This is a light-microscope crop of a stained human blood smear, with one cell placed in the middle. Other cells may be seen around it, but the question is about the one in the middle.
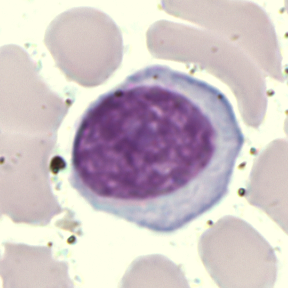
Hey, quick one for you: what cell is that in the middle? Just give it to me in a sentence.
The cell featured at the centre of this crop is a plasma cell.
